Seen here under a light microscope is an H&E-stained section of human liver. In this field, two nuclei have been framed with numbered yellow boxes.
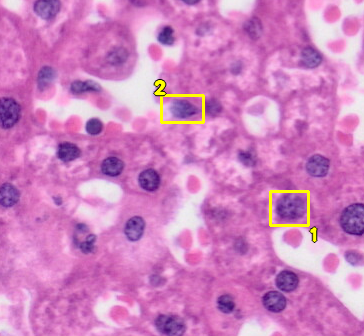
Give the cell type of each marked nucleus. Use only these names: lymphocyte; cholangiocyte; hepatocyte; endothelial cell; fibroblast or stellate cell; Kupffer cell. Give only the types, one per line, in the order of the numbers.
hepatocyte
fibroblast or stellate cell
